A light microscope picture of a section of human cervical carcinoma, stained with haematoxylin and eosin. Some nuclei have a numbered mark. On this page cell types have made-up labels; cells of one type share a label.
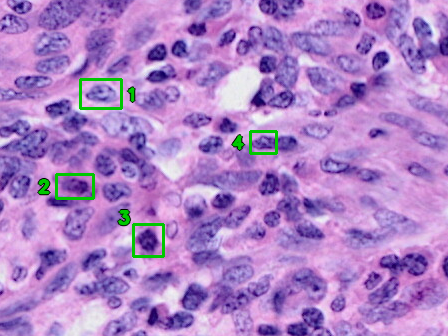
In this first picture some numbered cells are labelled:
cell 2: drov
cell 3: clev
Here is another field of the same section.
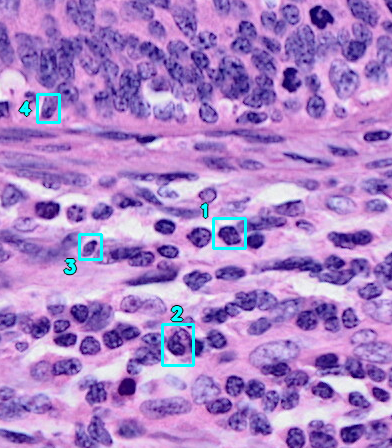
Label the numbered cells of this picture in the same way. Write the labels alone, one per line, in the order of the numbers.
clev
clev
clev
drov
